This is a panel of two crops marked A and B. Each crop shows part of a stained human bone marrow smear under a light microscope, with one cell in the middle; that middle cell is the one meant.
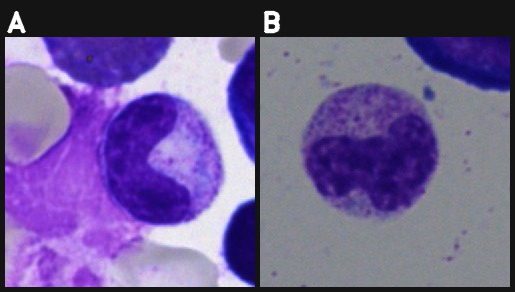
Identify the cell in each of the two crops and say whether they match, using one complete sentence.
No, cell A is a band neutrophil, and cell B is a metamyelocyte.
